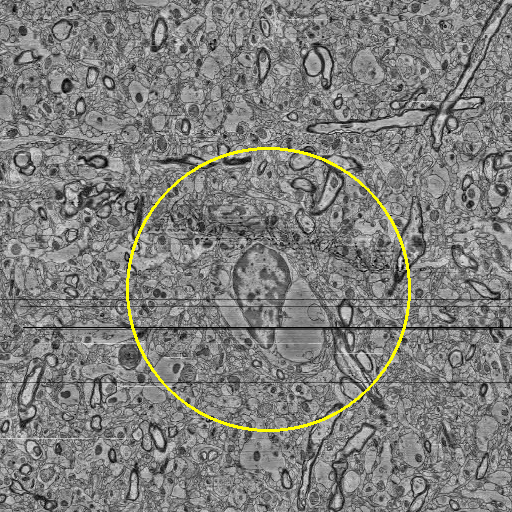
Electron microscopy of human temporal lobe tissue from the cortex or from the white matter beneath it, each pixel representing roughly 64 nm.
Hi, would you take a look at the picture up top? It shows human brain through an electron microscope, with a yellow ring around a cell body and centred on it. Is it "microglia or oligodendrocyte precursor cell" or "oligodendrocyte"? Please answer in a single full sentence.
The best fit for the cell in the middle of the ring is a microglial cell or oligodendrocyte precursor cell, I reckon.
